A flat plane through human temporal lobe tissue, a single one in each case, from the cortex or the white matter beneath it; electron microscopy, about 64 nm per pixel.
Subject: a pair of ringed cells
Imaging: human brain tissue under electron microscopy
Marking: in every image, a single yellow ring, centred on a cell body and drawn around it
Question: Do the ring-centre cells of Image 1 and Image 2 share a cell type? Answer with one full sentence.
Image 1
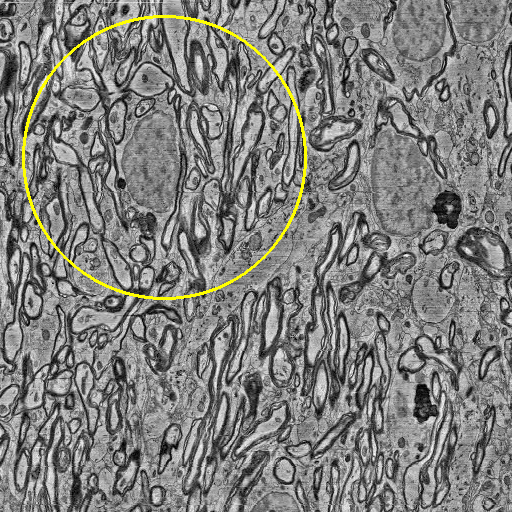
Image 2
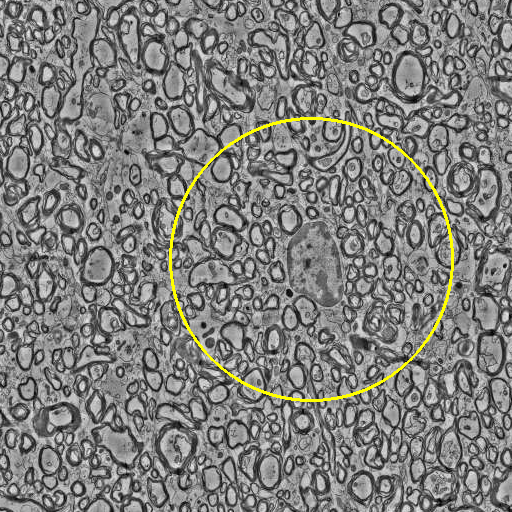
No, at the ring centres in the images sit cells of two separate types.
